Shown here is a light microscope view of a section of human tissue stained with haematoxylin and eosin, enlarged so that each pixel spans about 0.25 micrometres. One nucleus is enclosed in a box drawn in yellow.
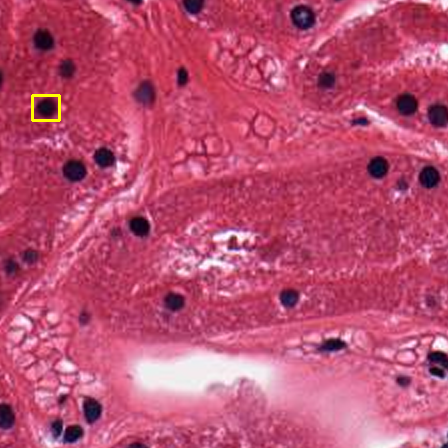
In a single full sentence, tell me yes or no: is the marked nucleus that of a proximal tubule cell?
Yes, a proximal tubule cell contains the marked nucleus.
